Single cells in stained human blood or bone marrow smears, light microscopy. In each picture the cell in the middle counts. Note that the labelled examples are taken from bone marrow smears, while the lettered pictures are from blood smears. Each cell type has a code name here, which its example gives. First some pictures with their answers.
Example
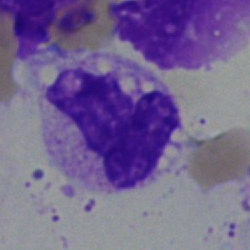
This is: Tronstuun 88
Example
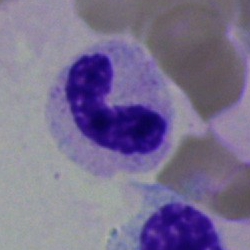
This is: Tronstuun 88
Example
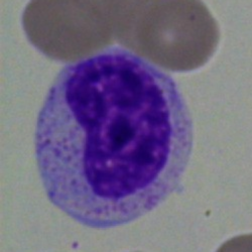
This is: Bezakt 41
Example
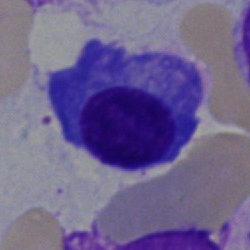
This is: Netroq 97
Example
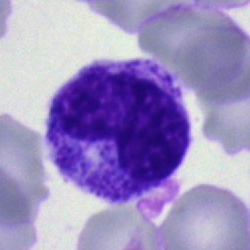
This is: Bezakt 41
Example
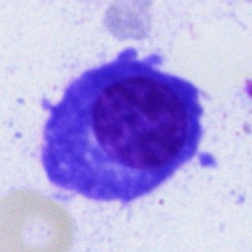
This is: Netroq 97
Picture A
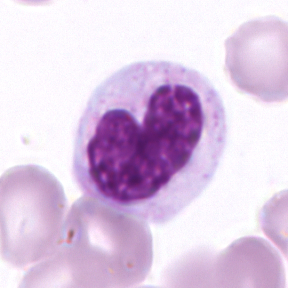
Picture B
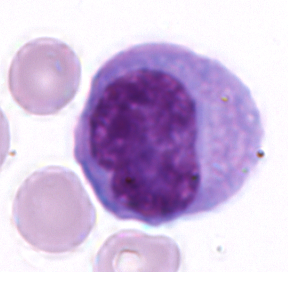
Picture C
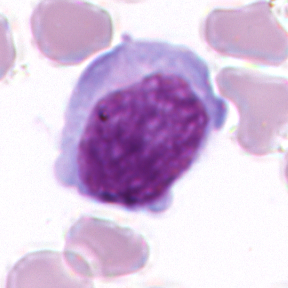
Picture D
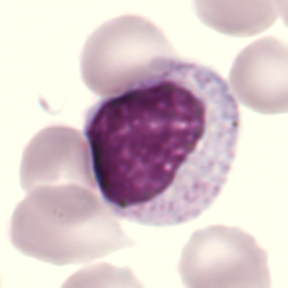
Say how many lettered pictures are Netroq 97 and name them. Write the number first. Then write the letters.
2, namely B, C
